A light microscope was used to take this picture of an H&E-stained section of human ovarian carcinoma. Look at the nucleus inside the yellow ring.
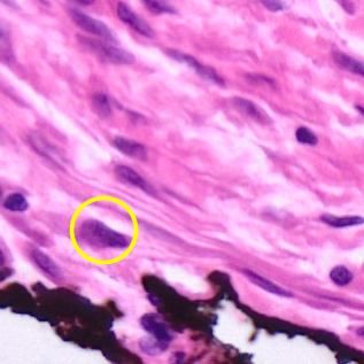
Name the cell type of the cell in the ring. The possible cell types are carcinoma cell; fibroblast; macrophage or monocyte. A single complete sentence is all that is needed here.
By its classification, the cell in the ring is a fibroblast.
